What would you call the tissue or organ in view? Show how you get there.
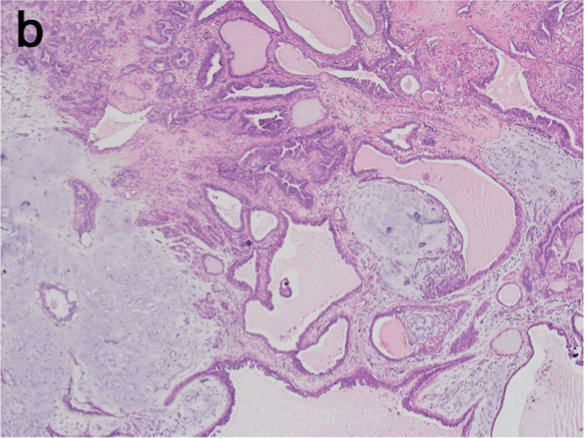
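Cartilage. Large areas of pale blue-grey, glassy matrix lie beside the glands. Scattered cells sit within this pale matrix.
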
